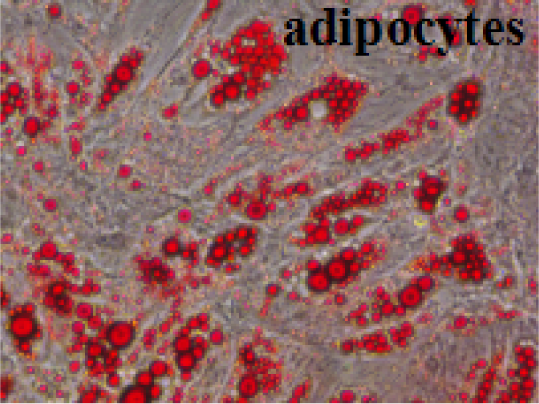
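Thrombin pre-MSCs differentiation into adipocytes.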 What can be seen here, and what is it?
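Elongated cells lie on a pale grey background, and many of them are packed with round droplets stained bright red. The droplets vary from tiny specks to large globules, often crowding together so that they fill the cytoplasm of a cell. Between these cells lie flatter cells with few or no red droplets.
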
